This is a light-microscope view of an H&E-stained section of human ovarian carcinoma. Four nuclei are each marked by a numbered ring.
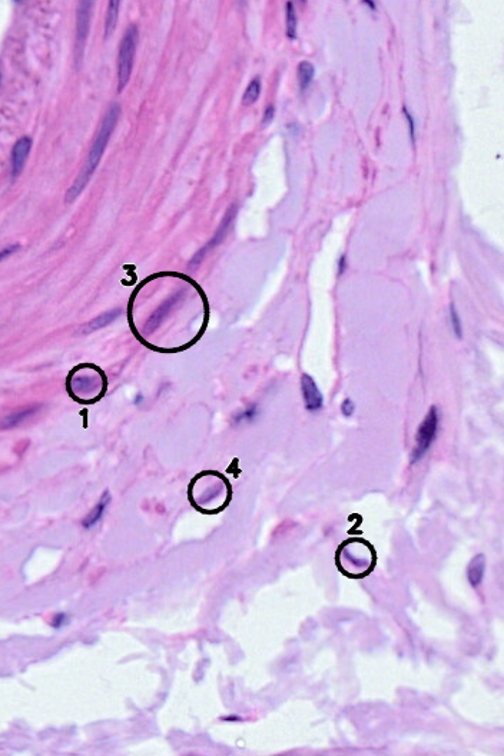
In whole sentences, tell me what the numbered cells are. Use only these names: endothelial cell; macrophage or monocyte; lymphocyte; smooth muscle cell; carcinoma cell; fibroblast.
Cell 1 is a smooth muscle cell, cell 2 is a fibroblast, cell 3 is a smooth muscle cell and cell 4 is a fibroblast.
